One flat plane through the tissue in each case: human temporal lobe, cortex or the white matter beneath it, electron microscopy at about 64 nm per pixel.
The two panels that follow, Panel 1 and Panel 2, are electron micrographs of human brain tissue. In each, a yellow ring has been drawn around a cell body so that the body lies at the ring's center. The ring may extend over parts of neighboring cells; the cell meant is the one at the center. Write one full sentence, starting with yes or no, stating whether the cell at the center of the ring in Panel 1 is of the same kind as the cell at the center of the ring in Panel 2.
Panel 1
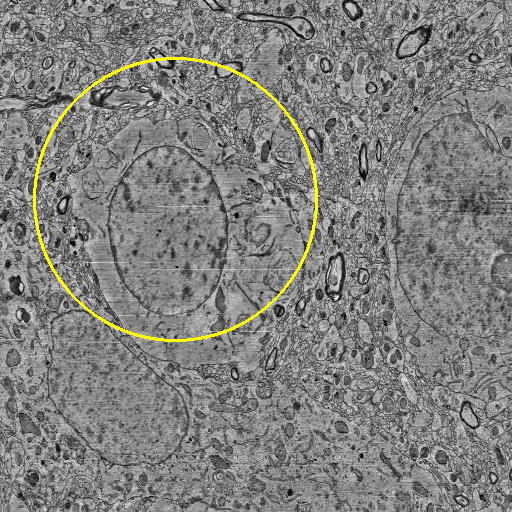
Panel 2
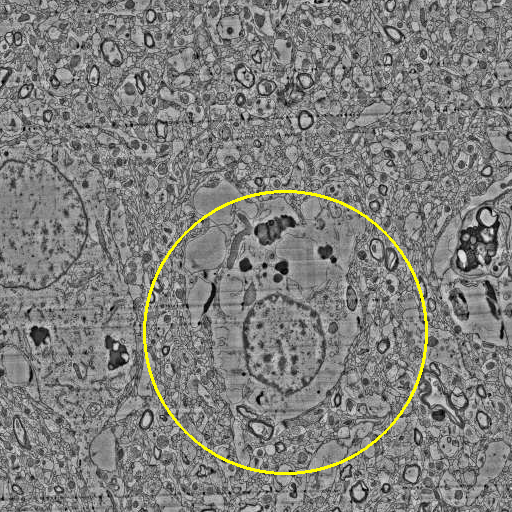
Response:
Yes, the cells in both panels are of the same kind.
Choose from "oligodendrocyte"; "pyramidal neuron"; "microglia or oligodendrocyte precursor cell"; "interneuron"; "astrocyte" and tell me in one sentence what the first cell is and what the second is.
Both the first and the second picture show an astrocyte in the ring.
